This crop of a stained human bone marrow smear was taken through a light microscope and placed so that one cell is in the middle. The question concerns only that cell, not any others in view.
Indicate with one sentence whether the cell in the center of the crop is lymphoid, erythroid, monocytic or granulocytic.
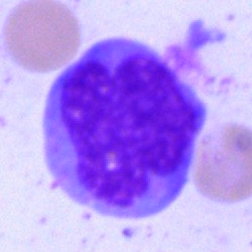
The central cell derives from the monocytic lineage.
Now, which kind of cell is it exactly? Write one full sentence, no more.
Among the cells in view, the one in the middle is a monocyte.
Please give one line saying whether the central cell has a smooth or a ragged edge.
Smooth outline, no projections: that is the whole story of its edge.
